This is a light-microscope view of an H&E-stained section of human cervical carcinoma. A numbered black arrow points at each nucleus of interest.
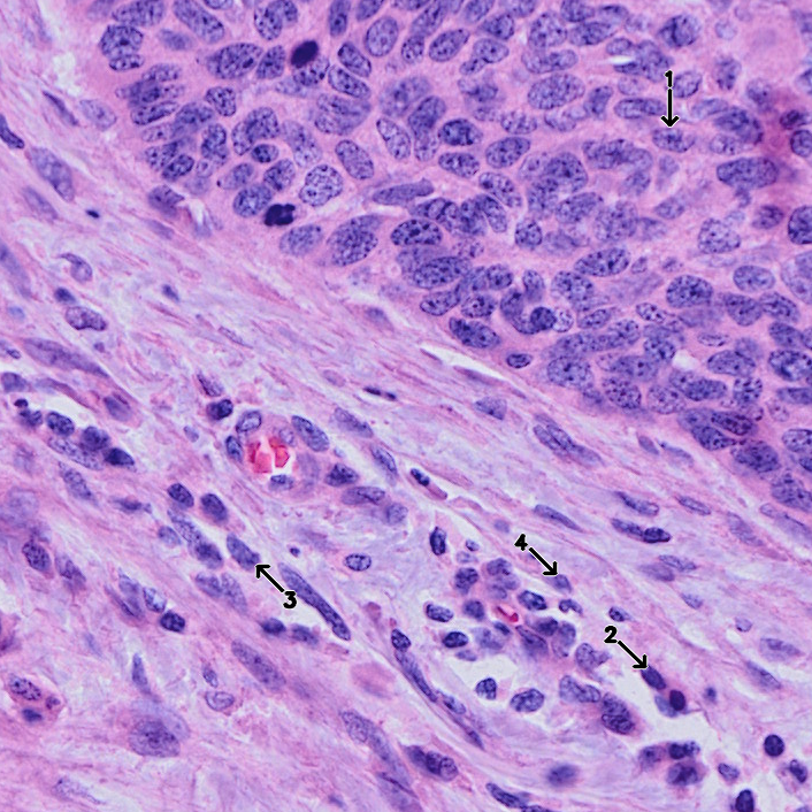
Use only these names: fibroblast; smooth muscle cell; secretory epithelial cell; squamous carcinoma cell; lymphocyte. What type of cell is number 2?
lymphocyte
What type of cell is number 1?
squamous carcinoma cell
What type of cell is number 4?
lymphocyte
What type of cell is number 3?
lymphocyte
